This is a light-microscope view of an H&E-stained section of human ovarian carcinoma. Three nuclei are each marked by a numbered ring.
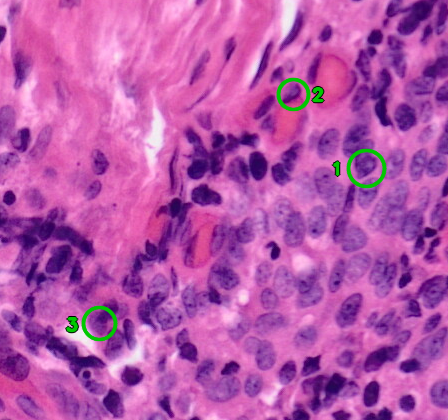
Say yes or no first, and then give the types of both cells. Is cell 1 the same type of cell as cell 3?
Yes, the two cells, 1 and 3, are both carcinoma cells.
